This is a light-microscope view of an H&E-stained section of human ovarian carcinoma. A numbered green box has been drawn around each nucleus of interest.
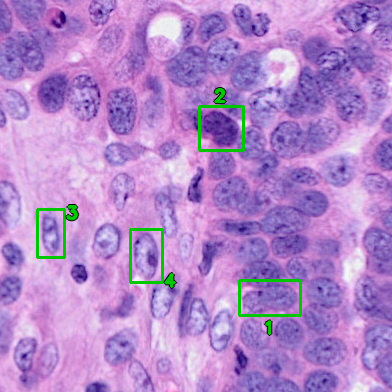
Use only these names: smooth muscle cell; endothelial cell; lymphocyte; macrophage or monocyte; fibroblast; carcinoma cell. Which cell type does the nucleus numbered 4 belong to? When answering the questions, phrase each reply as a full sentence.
In this section, the cell numbered 4 is a fibroblast.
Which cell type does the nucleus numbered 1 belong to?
The numeral 1 marks a carcinoma cell in this section.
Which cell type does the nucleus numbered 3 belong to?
Cell 3, among those numbered, is a fibroblast.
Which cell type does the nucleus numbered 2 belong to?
As for number 2, that cell is a carcinoma cell.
